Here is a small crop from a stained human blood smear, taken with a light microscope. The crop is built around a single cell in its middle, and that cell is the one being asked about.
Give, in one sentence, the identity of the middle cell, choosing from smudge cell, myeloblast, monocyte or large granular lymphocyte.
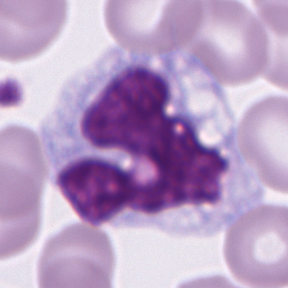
The centrally positioned cell in the crop represents a monocyte.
